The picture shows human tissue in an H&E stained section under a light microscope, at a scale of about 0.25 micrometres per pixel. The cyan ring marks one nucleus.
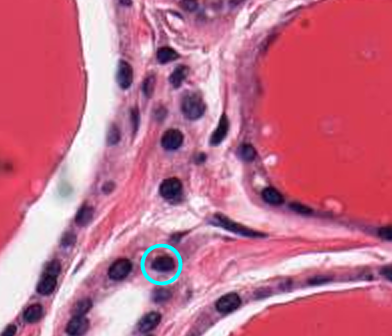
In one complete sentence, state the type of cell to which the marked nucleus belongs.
The mark identifies the nucleus of a thyroid follicular cell.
